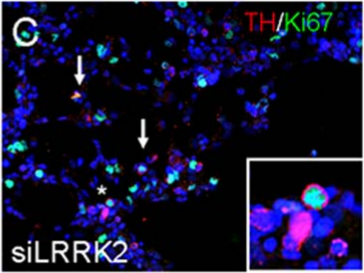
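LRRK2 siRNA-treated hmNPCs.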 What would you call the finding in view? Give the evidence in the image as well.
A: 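Disappearance of protrusions. Red-stained cells are small and rounded. No long red processes extend from the cells. Cells lie in dense clusters of blue nuclei.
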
